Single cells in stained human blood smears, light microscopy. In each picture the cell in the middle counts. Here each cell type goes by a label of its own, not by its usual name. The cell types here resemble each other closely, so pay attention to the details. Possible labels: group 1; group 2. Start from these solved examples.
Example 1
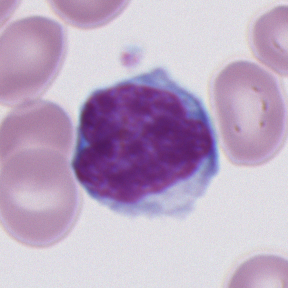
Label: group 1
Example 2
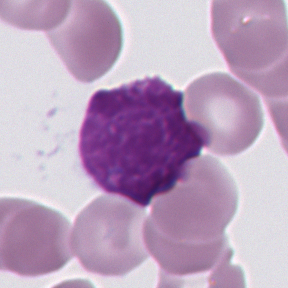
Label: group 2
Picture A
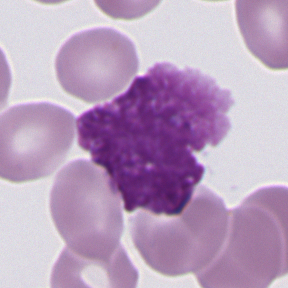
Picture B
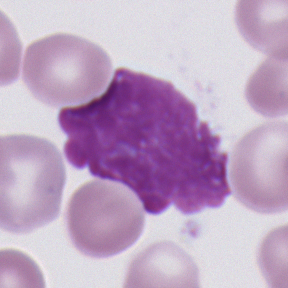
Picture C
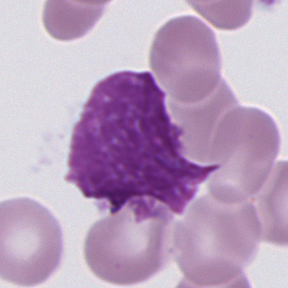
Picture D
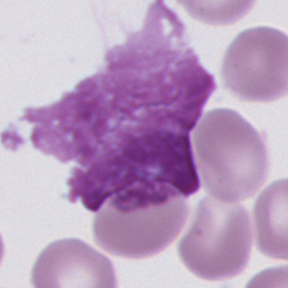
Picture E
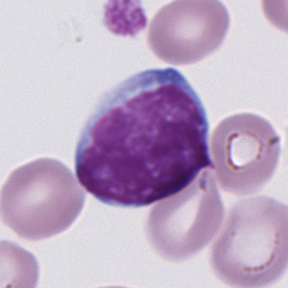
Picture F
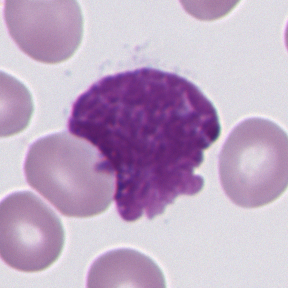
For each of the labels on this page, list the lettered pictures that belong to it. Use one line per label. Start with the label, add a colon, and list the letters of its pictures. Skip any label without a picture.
group 1: E
group 2: A, B, C, D, F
